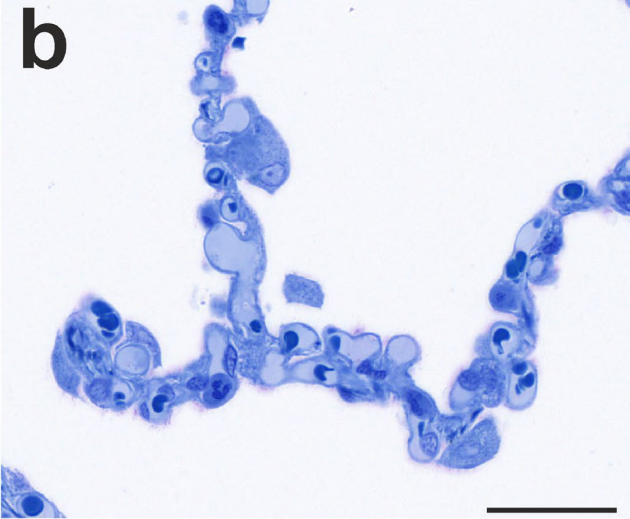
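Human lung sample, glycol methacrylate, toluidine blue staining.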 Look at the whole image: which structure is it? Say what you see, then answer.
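Thin walls between air spaces contain many small round lumina. Many lumina hold dark-blue red blood cells. The answer: dense network of capillaries in the interalveolar septa.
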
